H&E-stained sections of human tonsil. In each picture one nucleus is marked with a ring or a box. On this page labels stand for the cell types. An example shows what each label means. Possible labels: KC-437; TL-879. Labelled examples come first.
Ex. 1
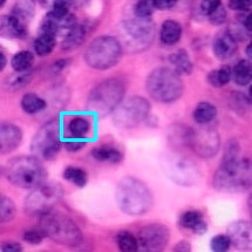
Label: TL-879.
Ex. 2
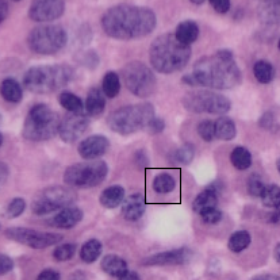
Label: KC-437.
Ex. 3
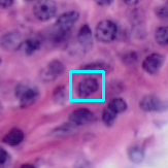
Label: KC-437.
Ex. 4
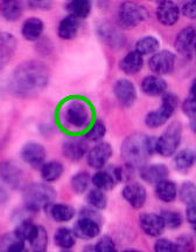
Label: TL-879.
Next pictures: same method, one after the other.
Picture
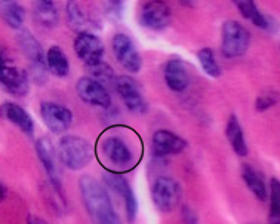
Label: KC-437.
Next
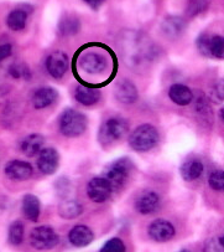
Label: KC-437.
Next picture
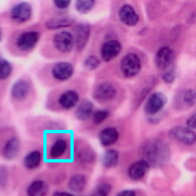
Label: KC-437.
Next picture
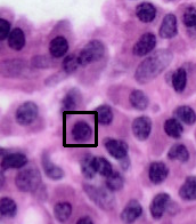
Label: KC-437.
